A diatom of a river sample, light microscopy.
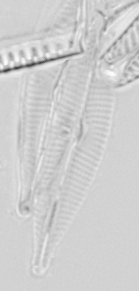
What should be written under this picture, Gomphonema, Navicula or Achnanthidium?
Navicula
